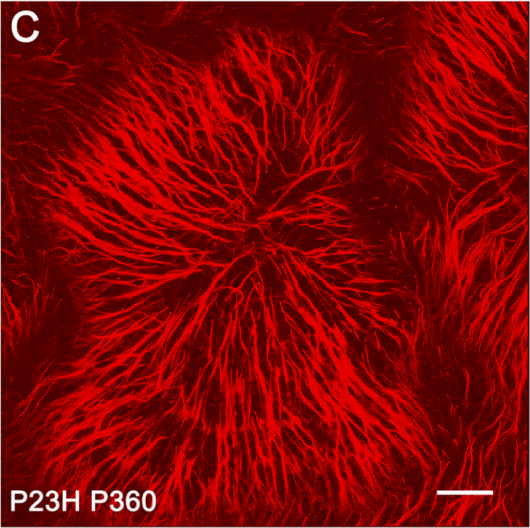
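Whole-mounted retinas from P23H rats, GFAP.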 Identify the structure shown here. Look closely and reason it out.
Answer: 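Bright fibres radiate outward from a central point in all directions. Neighbouring radiating clusters lie side by side, separated by darker zones. On this evidence: firework-like structures.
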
